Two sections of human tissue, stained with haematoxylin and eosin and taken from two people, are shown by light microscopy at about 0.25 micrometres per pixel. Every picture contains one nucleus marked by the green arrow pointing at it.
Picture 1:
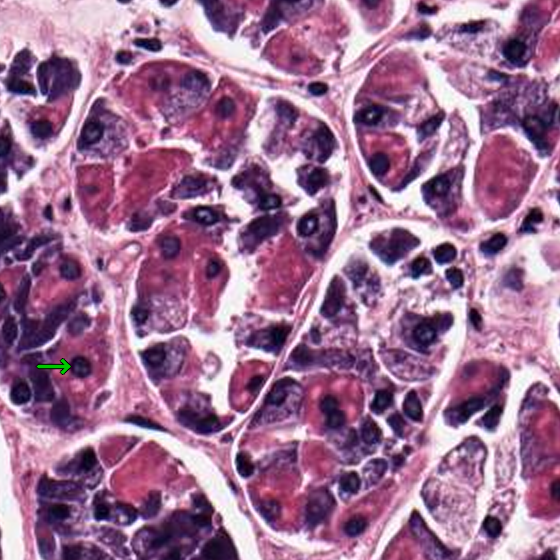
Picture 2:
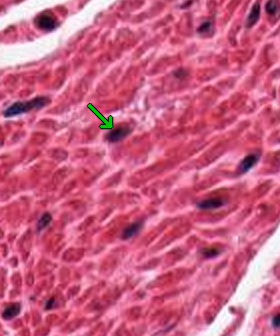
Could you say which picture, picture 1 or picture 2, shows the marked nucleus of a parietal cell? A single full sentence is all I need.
Where the marked nucleus belongs to a parietal cell is picture 1, not the other picture.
